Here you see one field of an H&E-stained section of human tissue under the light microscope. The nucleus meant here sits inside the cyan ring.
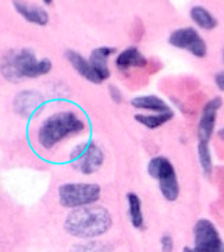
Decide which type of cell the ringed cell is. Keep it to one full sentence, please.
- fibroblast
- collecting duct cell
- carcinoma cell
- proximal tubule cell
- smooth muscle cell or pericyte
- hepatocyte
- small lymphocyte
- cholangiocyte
Histopathologically, the ringed cell is a collecting duct cell.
